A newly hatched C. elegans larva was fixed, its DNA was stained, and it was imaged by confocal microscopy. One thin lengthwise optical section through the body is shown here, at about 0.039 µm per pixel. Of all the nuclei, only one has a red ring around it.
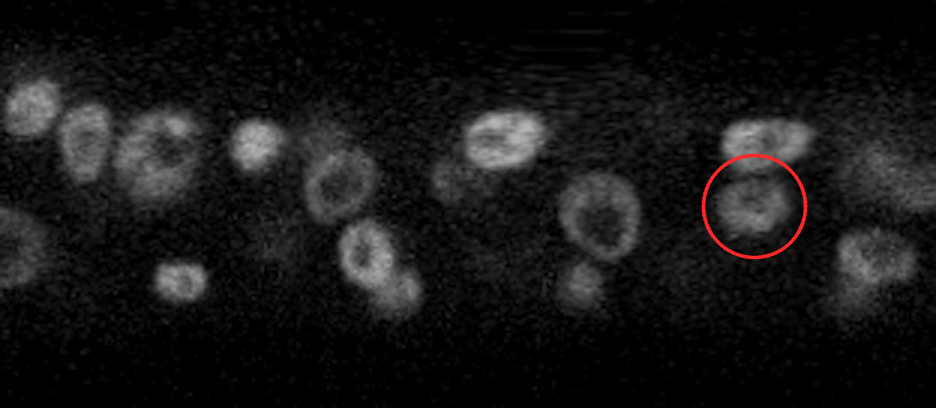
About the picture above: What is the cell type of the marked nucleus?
seam cell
